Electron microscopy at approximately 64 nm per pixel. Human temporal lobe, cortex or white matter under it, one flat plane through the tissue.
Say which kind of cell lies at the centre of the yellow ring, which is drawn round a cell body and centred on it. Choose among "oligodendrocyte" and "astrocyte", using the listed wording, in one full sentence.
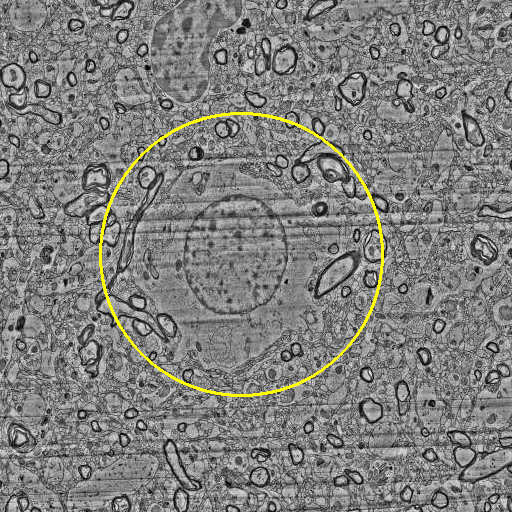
Going by the list, the cell at the yellow ring's centre is an astrocyte.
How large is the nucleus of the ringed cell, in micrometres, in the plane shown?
In this plane the ringed cell's nucleus is roughly 7 micrometres across.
